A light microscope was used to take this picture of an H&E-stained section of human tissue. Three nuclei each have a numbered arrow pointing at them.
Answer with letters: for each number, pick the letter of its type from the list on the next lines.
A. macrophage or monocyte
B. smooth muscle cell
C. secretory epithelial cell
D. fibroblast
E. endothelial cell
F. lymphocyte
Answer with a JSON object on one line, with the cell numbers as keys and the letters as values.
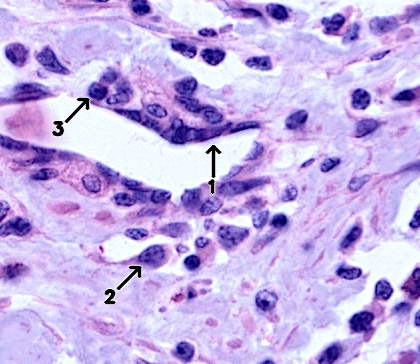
{"1": "E", "2": "A", "3": "F"}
